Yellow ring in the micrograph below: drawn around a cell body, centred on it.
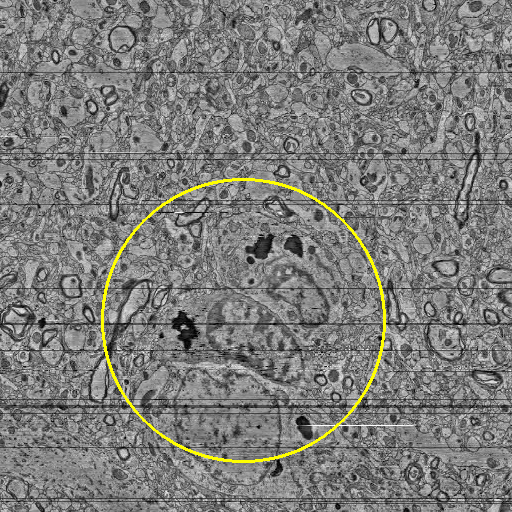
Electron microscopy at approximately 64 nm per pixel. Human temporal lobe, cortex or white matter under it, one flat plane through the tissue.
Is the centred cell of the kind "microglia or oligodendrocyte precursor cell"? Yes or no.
no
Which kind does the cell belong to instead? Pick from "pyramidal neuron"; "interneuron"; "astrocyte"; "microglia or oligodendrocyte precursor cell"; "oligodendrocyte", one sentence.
Sitting at the ring centre is an oligodendrocyte.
